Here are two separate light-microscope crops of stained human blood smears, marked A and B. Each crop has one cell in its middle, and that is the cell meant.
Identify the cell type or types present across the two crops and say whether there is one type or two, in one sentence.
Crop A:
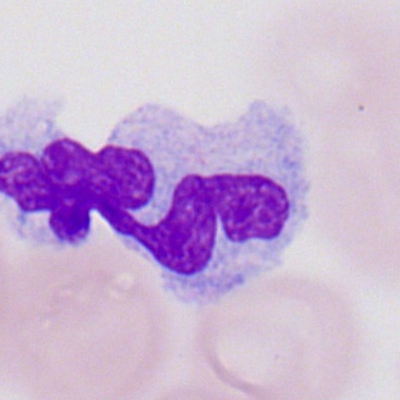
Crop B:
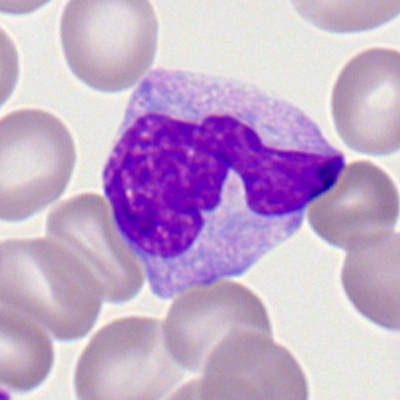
Yes, the cells centred in the two crops are both monocytes.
